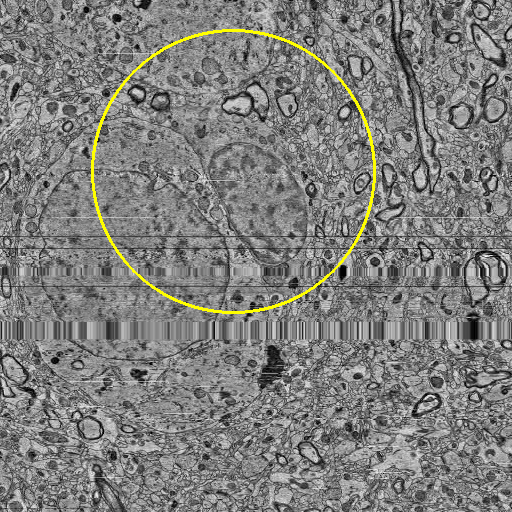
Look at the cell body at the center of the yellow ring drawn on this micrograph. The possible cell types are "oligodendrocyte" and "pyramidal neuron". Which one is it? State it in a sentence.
The cell in the middle of the ring is an oligodendrocyte.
